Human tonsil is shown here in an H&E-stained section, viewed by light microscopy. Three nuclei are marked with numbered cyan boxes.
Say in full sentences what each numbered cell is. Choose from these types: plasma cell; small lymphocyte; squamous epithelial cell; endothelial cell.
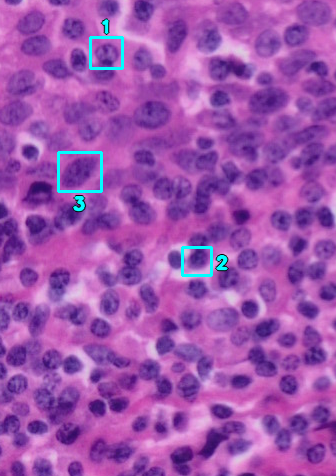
Cells 1 and 2 are plasma cells. Cell 3 is a squamous epithelial cell.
